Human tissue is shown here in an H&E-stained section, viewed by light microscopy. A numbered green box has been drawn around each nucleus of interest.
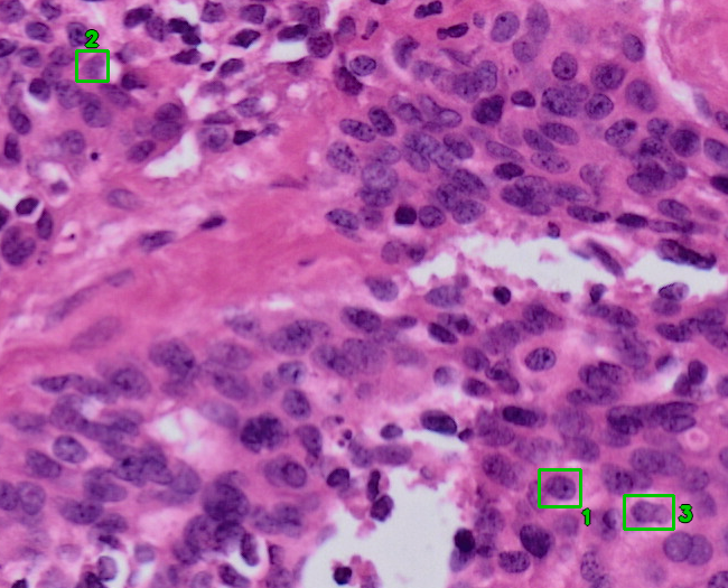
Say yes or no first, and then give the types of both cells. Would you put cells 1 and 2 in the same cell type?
No, cell 1 is a macrophage or monocyte and cell 2 is a carcinoma cell.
